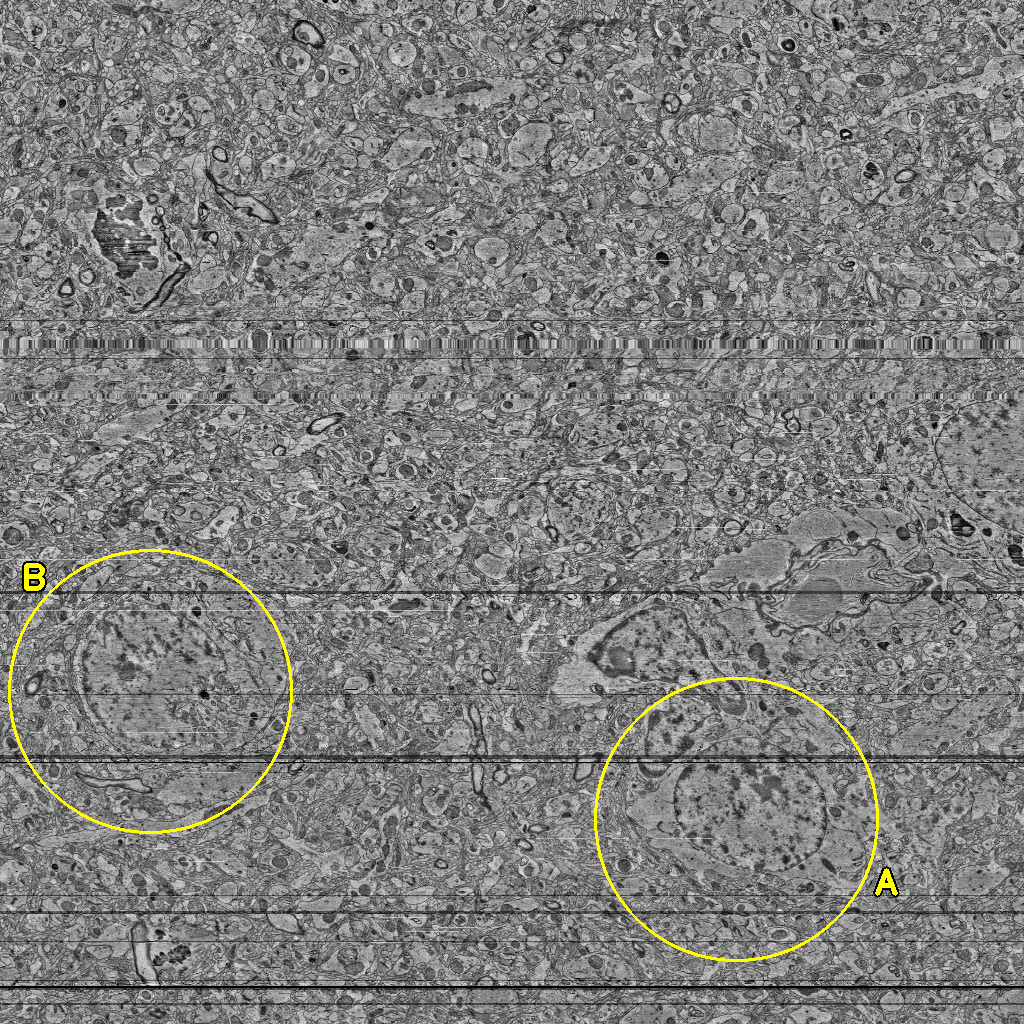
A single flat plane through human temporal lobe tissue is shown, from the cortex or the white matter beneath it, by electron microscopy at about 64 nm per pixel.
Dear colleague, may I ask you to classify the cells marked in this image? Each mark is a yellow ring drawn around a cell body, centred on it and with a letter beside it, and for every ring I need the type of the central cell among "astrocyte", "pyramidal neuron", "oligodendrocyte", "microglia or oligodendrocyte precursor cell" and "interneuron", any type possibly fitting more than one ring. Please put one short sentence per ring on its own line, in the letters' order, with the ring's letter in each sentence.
Ring A contains an astrocyte at its centre.
Ring B contains an interneuron at its centre.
